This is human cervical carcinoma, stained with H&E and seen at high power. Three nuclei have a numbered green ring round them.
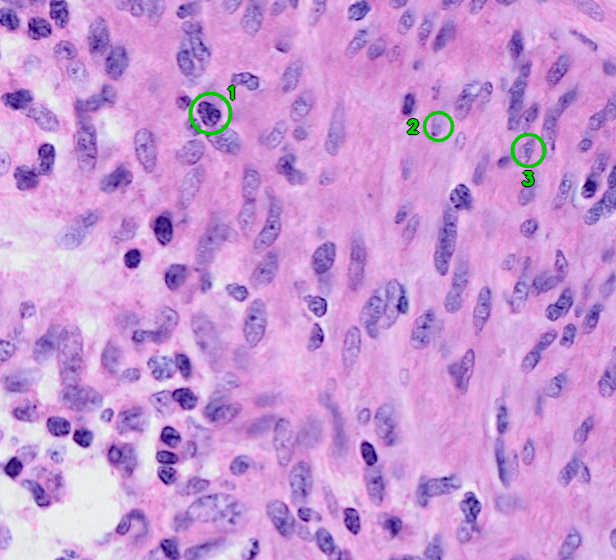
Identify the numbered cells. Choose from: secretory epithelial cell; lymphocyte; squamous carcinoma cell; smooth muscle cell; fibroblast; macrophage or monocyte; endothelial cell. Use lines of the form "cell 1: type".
cell 1: lymphocyte
cell 2: smooth muscle cell
cell 3: smooth muscle cell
